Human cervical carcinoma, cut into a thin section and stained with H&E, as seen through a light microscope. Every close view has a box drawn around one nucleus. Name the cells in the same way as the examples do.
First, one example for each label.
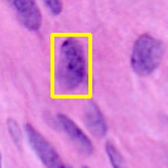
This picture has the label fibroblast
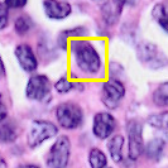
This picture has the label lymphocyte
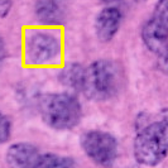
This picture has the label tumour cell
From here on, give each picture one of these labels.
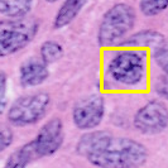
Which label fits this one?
tumour cell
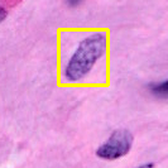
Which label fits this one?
fibroblast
